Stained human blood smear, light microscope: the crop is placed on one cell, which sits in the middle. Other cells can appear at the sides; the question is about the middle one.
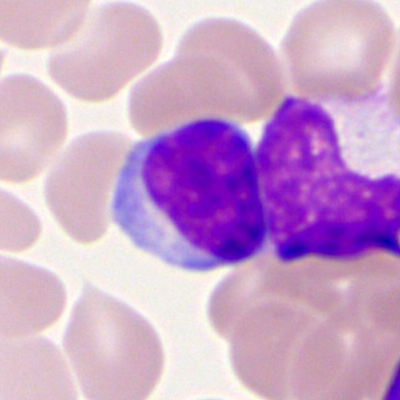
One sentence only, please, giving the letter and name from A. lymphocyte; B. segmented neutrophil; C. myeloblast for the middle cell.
Option A correctly names the cell in the middle as a lymphocyte.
